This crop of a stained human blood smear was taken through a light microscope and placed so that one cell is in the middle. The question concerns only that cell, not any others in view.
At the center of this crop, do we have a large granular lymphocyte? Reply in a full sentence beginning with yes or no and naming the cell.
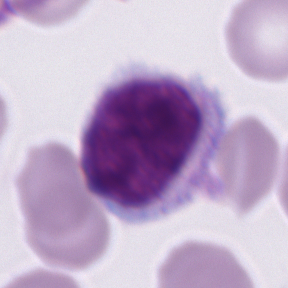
No, the central cell is classed as a typical lymphocyte and not as a large granular lymphocyte.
